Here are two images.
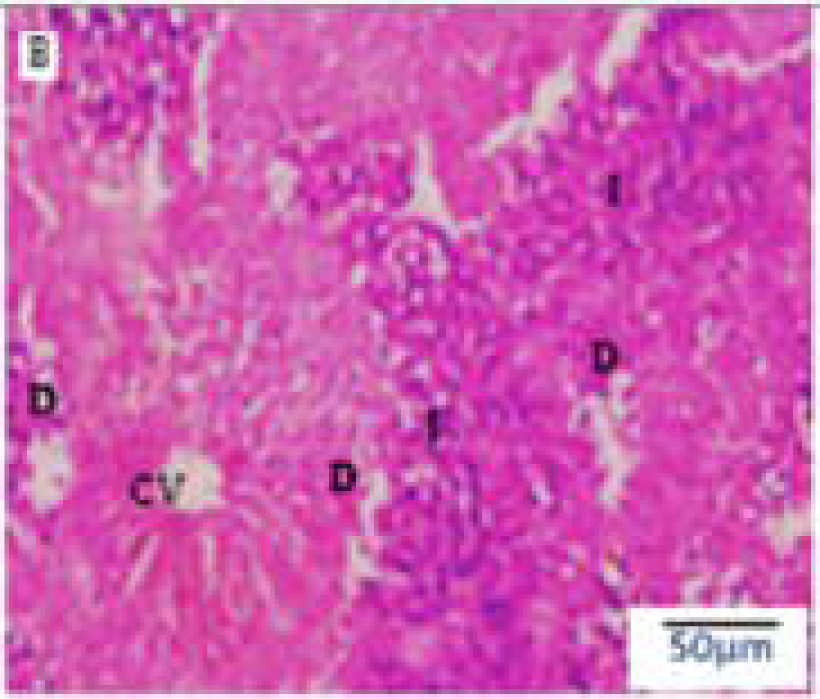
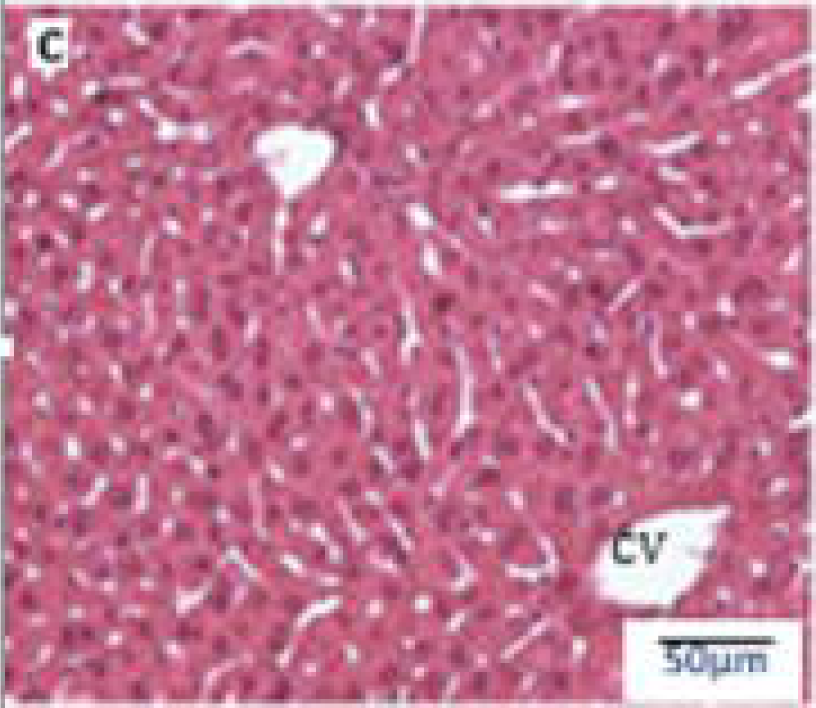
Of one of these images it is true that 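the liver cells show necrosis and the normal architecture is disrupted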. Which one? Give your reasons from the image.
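The first image. Second image: regular cords of cells with distinct nuclei and evenly spaced narrow sinusoids. First image: irregular, densely stained pink areas with indistinct cell borders and ragged clefts between cell masses.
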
